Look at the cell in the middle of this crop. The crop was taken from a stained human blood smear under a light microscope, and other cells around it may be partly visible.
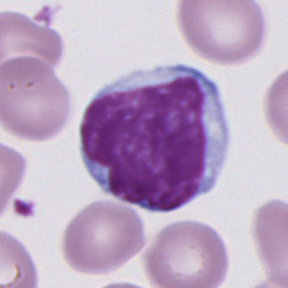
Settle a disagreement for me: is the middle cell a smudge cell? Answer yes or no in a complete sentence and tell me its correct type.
No, the identification should read a typical lymphocyte, not a smudge cell, for the central cell.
